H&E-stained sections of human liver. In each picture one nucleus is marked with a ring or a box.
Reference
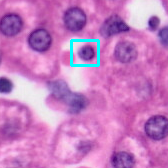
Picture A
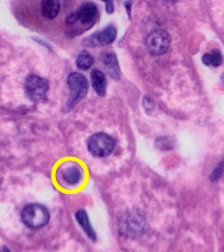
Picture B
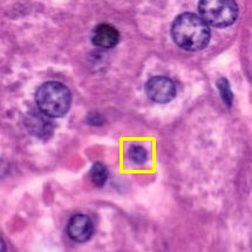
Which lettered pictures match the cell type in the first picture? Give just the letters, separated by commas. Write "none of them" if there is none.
A, B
